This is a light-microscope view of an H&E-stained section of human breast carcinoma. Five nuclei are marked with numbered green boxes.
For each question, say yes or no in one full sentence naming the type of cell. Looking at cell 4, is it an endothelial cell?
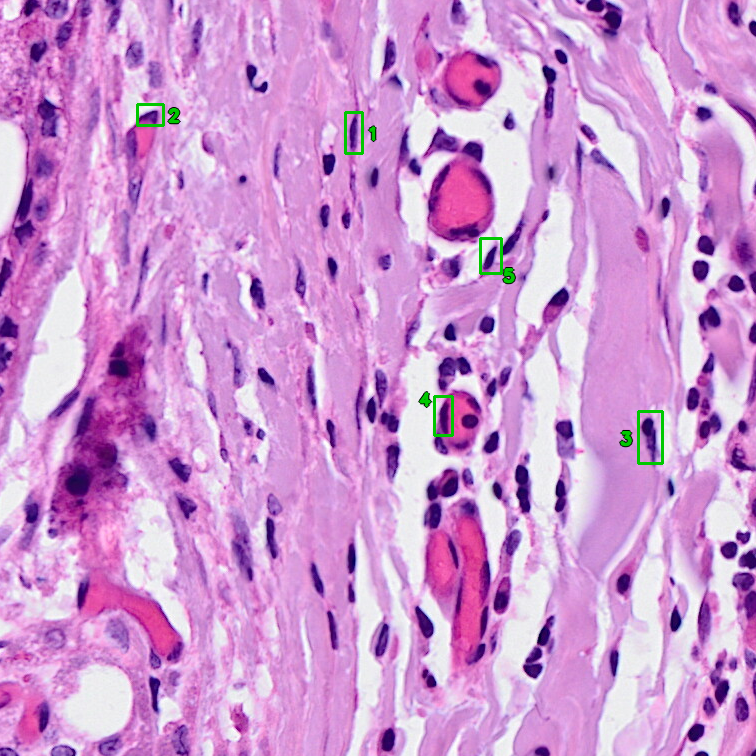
Yes, in the section, number 4 is an endothelial cell.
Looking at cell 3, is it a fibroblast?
Yes, the cell tagged with number 3 is a fibroblast.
